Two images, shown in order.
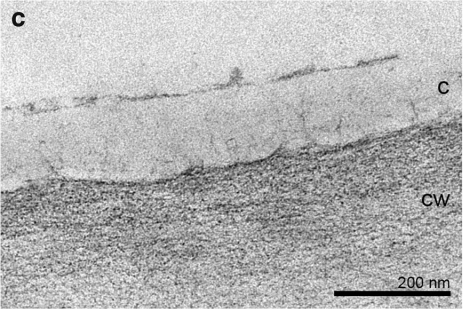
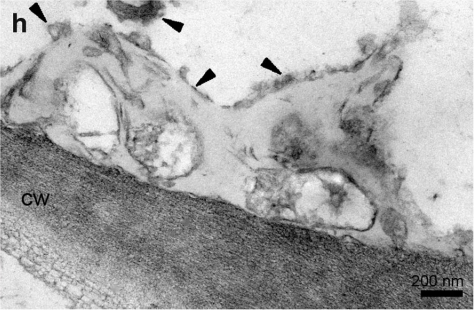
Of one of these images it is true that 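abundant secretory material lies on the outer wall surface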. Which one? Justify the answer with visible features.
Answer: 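Second image: a thick, irregular layer of vesicular and fibrous material covers the cell wall. First image: only a thin, fairly even pale layer with a faint outer line lies over the cell wall.
Conclusion: the second image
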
